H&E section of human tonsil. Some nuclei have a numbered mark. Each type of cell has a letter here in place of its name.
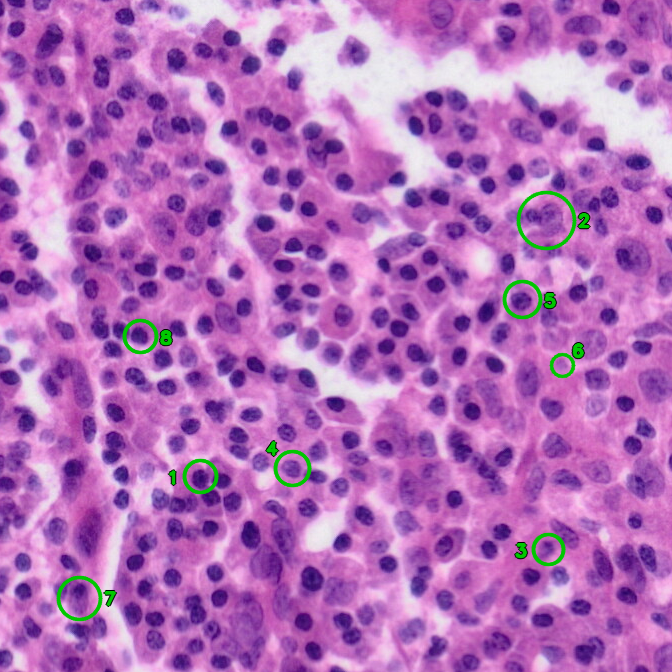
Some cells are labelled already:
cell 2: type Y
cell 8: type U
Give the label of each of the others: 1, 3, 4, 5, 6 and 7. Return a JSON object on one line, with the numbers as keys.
{"1": "type U", "3": "type Y", "4": "type U", "5": "type U", "6": "type Y", "7": "type Y"}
